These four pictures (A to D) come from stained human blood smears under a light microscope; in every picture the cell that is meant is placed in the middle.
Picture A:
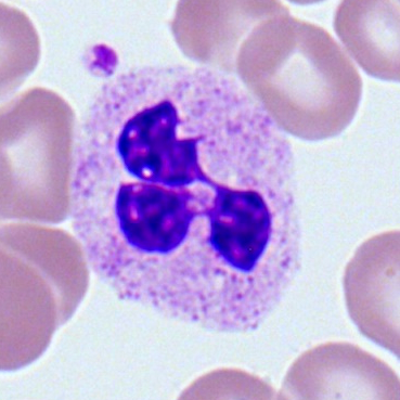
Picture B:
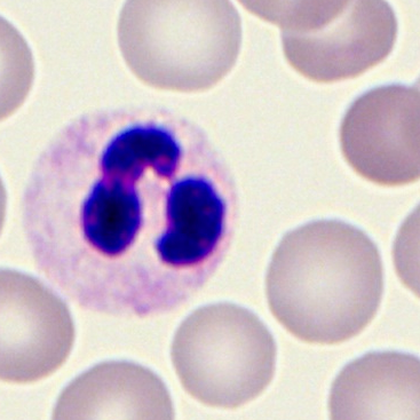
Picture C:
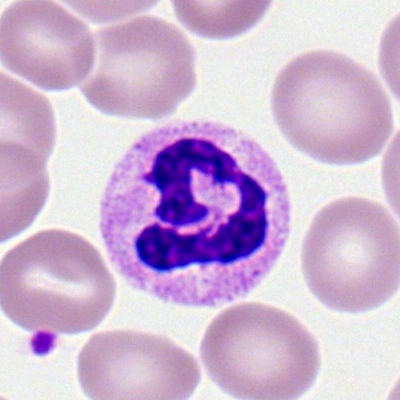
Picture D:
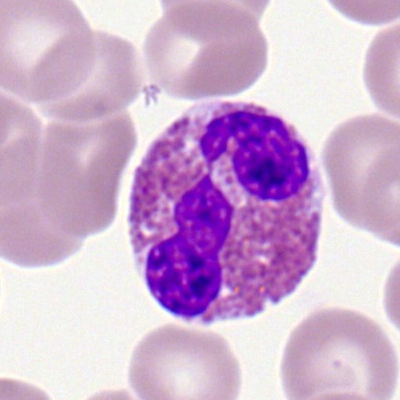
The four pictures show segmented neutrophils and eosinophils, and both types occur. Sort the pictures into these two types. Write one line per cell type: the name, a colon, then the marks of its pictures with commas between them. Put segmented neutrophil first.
segmented neutrophil: A, B, C
eosinophil: D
